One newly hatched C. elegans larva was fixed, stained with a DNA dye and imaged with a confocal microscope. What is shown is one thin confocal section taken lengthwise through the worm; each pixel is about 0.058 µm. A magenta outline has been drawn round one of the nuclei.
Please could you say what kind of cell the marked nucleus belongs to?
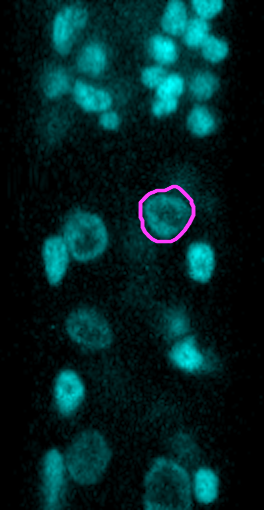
intestinal cell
